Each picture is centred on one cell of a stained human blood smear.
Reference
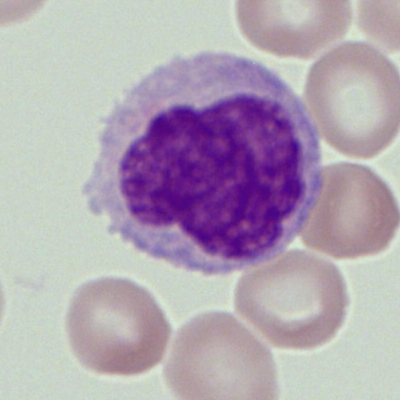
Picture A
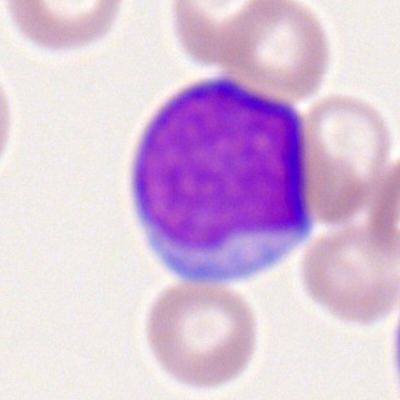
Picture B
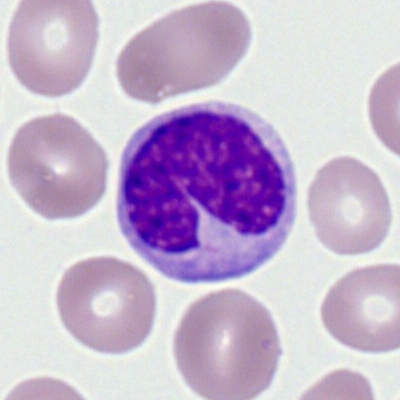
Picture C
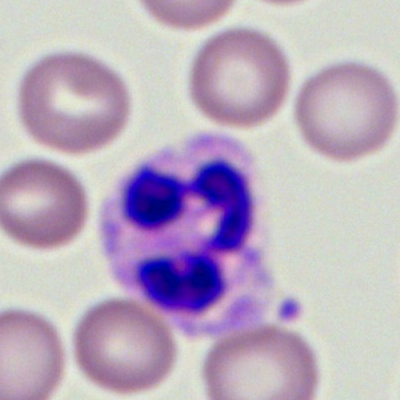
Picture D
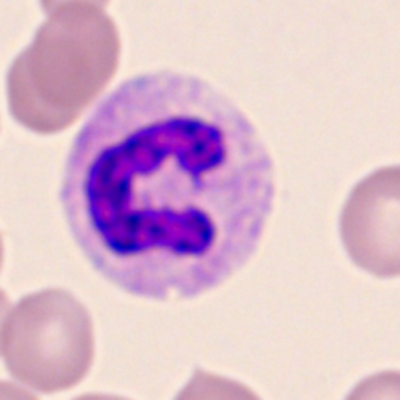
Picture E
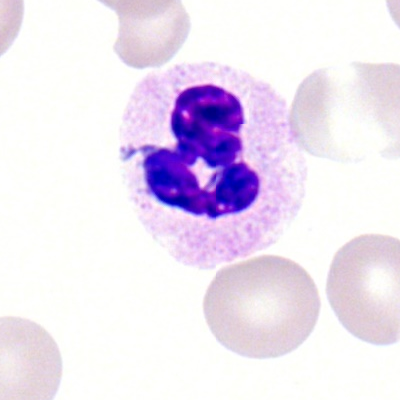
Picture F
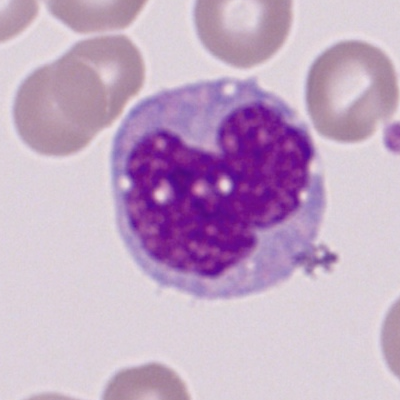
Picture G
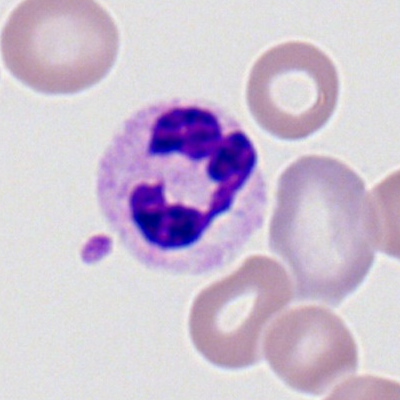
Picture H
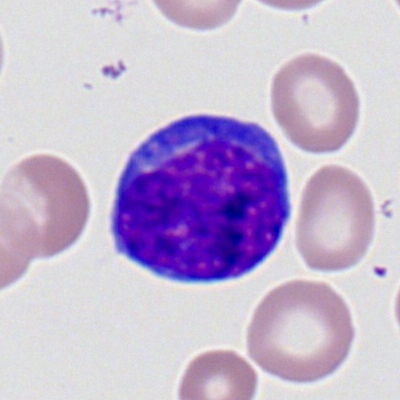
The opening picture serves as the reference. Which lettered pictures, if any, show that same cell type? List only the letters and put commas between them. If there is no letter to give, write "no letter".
B, F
